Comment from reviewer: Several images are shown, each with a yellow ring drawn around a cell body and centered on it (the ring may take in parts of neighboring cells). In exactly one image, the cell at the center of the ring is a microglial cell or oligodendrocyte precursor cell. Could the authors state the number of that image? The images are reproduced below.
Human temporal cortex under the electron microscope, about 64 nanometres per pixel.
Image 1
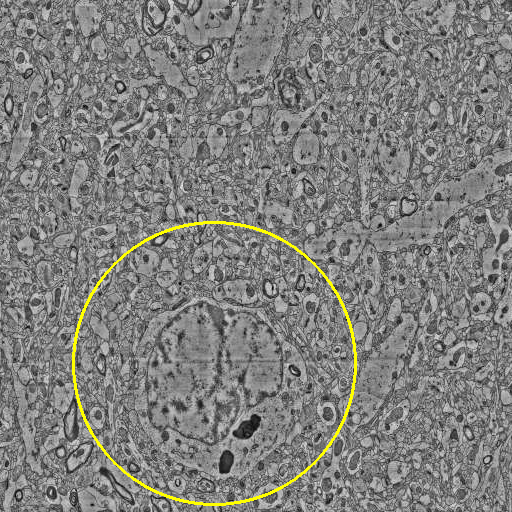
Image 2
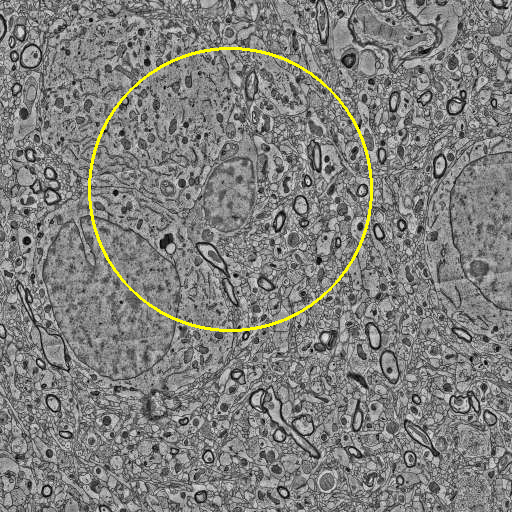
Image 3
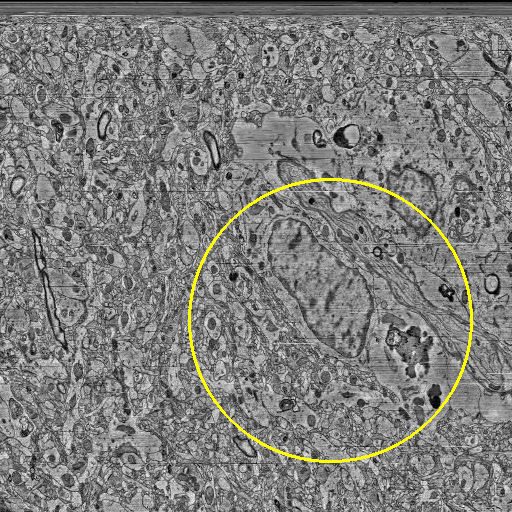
3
